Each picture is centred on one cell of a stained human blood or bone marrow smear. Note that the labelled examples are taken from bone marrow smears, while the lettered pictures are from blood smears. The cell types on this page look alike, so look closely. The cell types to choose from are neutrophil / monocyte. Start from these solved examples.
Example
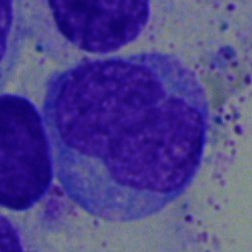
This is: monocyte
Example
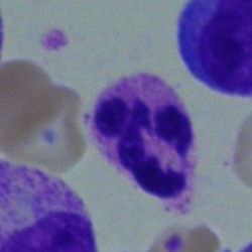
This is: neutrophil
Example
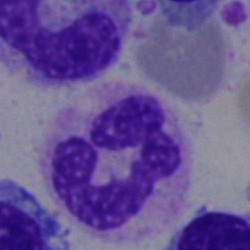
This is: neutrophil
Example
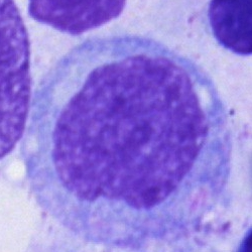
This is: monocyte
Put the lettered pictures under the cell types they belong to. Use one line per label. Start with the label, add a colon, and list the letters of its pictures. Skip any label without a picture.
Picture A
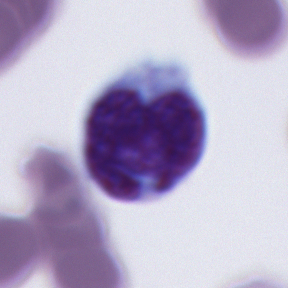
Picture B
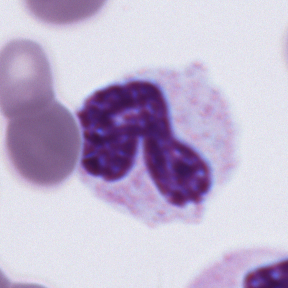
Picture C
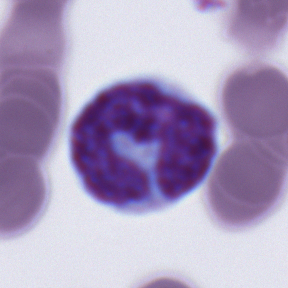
neutrophil: B
monocyte: A, C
